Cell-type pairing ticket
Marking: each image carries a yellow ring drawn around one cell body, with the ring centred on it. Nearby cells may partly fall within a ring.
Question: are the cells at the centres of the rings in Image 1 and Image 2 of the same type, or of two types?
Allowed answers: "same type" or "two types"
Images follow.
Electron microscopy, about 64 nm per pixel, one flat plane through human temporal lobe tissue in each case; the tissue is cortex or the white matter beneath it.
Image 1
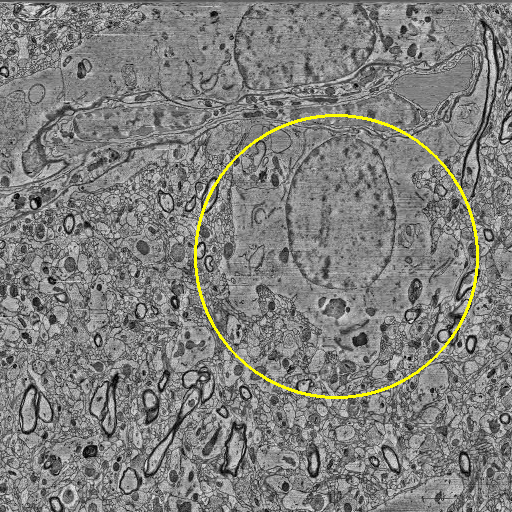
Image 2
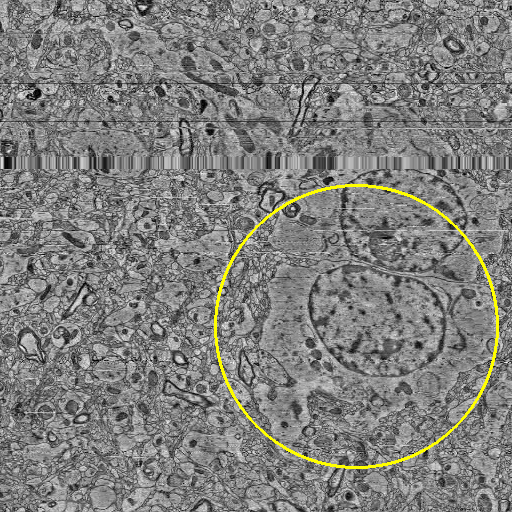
same type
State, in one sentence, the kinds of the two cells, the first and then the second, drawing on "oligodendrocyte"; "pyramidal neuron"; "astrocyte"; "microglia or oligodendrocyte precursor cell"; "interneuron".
In each picture the ringed cell is an astrocyte.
